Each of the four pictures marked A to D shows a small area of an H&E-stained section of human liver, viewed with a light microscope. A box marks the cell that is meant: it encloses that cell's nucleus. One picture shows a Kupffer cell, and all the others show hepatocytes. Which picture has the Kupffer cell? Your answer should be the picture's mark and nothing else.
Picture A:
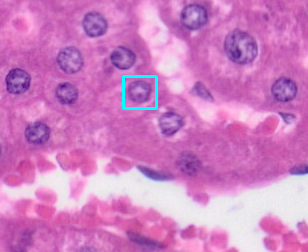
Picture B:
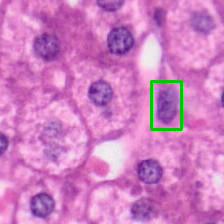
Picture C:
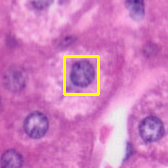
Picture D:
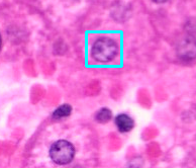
B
